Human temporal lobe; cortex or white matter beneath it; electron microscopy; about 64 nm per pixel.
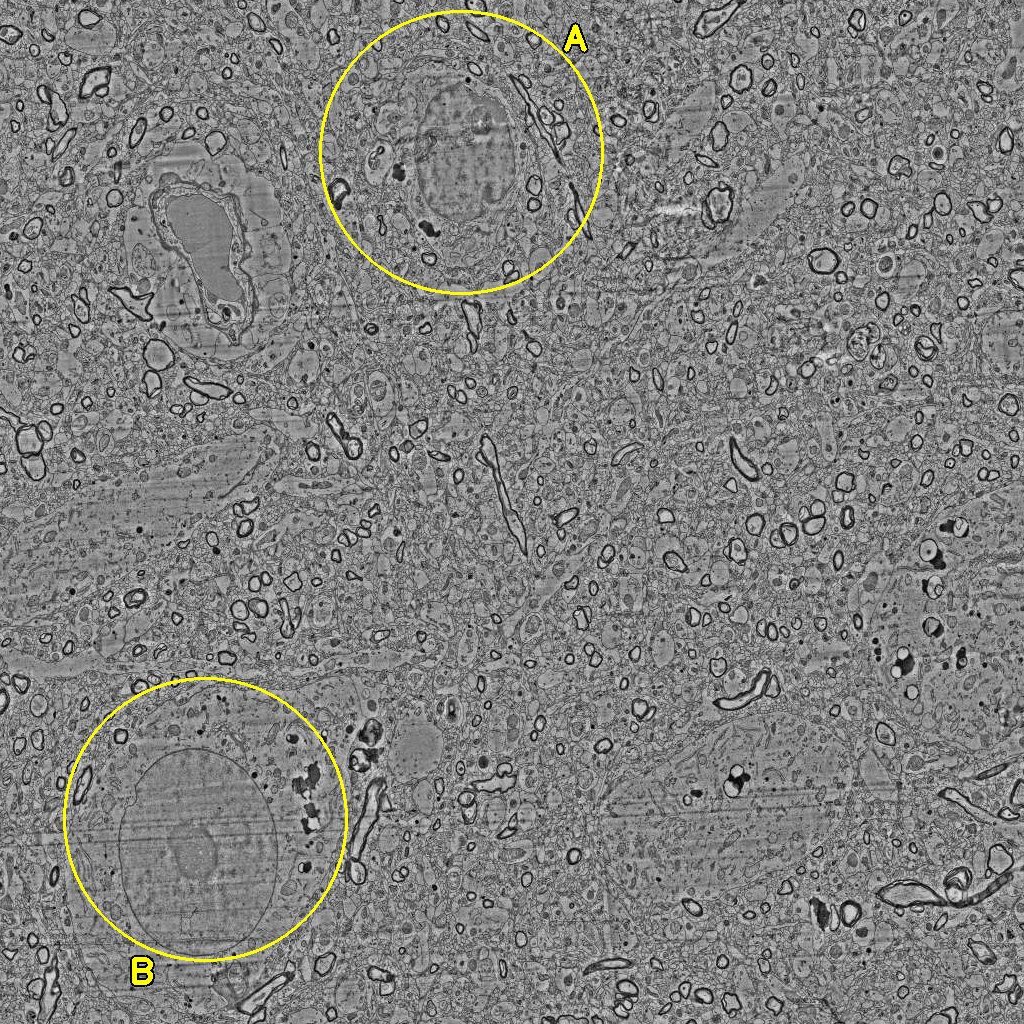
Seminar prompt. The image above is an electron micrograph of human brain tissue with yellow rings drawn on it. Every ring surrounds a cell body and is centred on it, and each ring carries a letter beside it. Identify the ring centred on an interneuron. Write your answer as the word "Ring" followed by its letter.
Ring A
